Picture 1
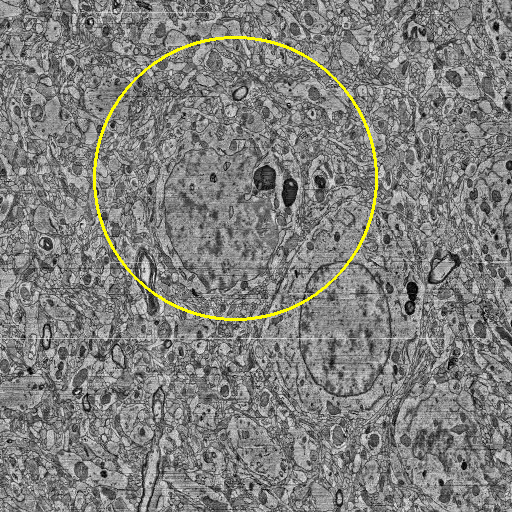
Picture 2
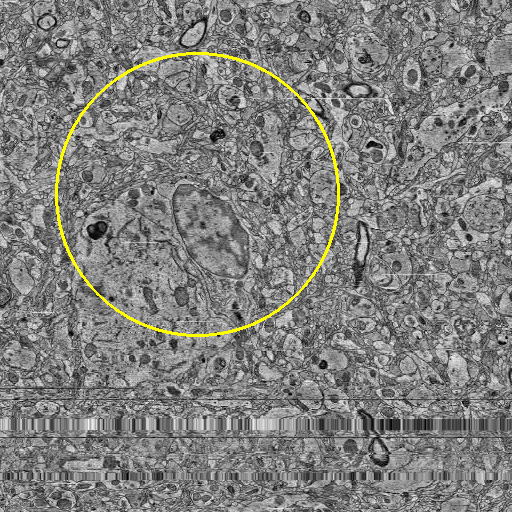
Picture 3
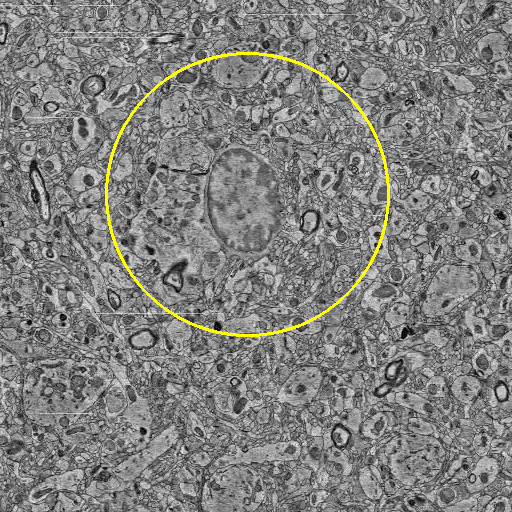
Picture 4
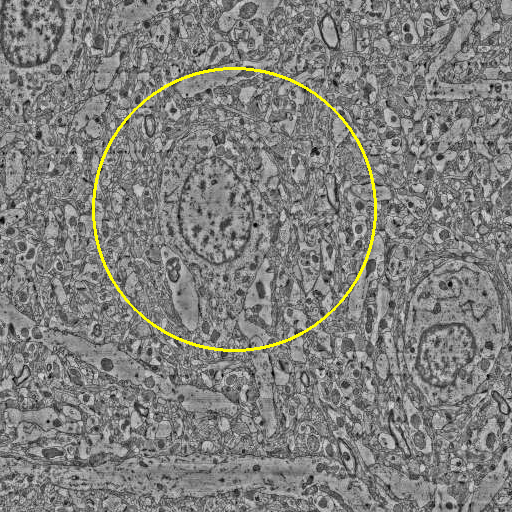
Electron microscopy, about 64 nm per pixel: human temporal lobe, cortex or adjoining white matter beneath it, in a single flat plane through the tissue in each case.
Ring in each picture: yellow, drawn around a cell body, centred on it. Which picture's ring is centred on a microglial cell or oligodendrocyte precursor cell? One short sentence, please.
Picture 2 is the one.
